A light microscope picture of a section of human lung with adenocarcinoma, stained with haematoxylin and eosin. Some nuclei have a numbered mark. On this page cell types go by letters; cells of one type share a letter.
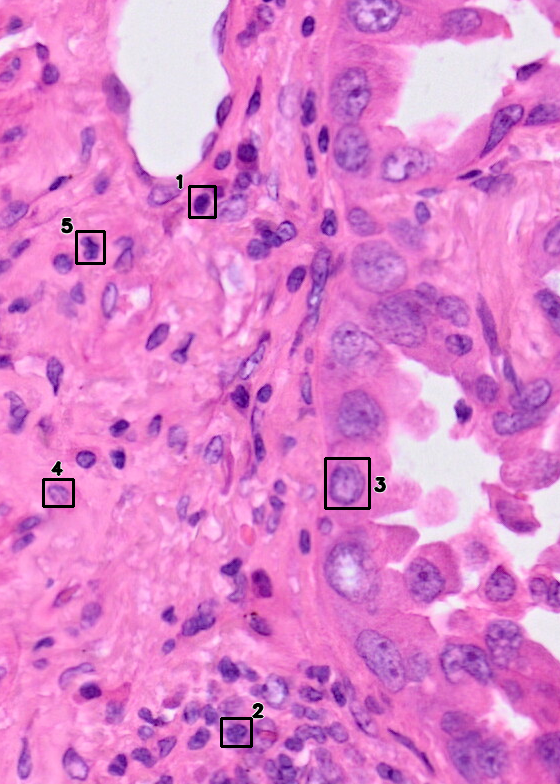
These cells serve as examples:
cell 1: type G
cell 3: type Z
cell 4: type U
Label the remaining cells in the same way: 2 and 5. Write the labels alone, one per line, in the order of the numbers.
type G
type G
